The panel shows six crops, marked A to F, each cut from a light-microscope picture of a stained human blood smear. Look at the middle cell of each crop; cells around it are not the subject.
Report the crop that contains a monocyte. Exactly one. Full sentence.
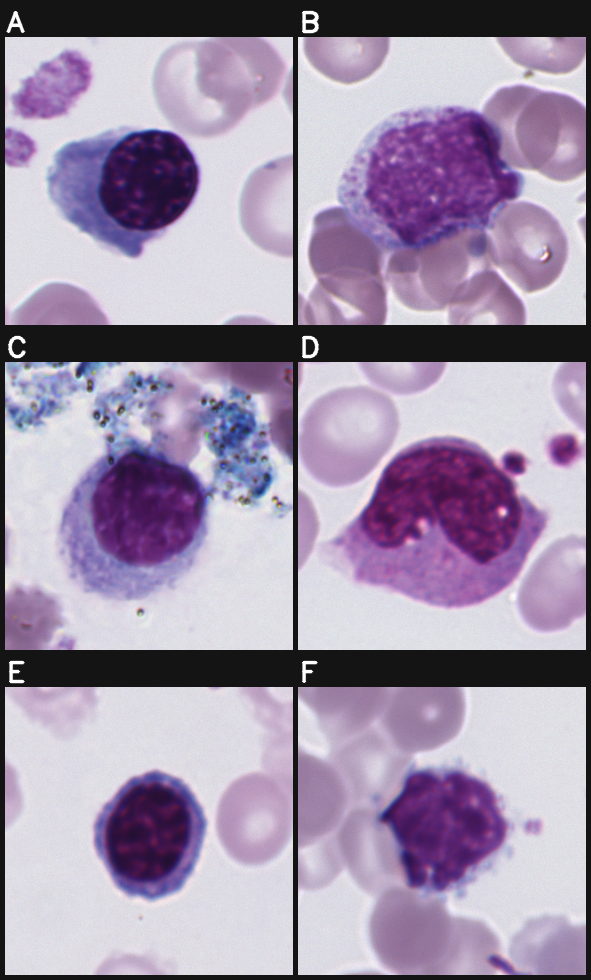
Crop D represents a monocyte, while the other crops do not.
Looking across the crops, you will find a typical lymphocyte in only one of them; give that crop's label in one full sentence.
When the crops are compared, crop E is the one showing a typical lymphocyte.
